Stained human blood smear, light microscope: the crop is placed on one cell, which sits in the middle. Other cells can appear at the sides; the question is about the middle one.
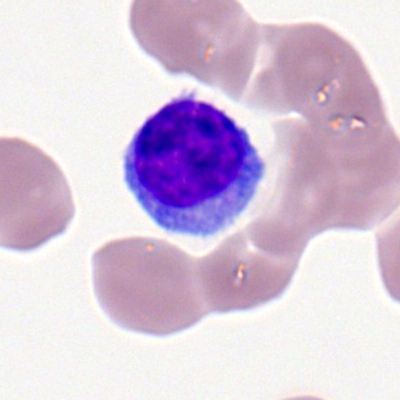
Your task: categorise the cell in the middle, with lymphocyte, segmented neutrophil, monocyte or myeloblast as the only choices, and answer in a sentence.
The cell at the central position in this crop is a lymphocyte.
